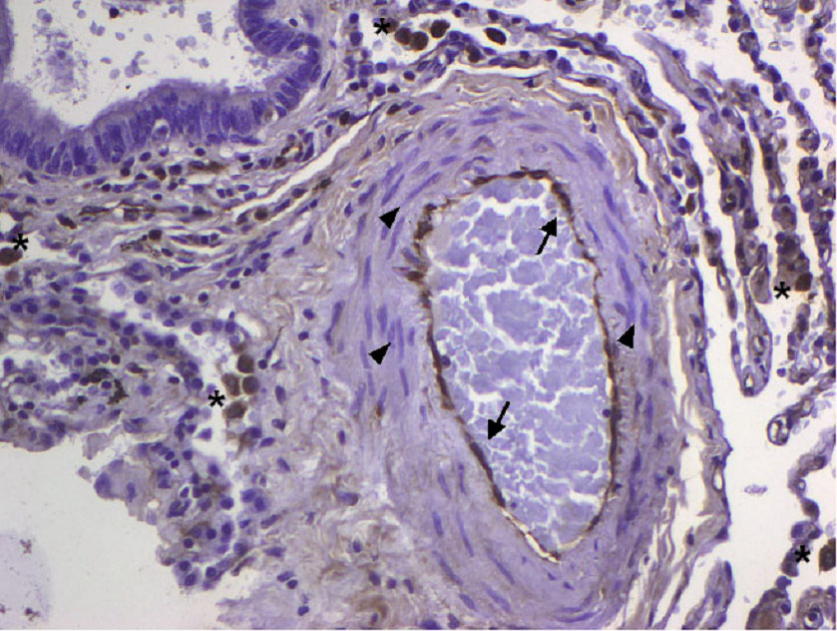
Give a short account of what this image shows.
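Pulmonary artery with a thickened media of concentrically layered spindle-shaped smooth muscle cells, largely unstained blue, around a lumen filled with red blood cells. A thin brown-stained endothelial lining runs along the lumen. Large rounded macrophages with brown cytoplasm lie in the surrounding alveolar spaces and tissue, and a bronchiolar columnar epithelium is at the upper left.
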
